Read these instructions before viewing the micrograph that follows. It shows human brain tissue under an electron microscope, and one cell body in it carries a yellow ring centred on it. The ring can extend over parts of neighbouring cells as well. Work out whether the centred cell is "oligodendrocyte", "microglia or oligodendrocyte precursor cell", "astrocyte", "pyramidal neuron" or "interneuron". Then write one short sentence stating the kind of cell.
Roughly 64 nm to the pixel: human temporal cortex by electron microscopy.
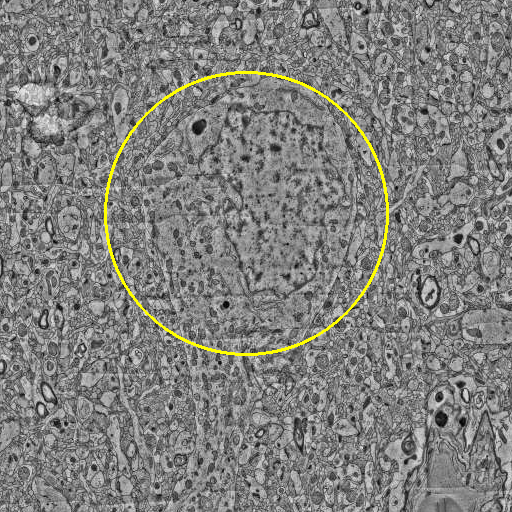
The ringed cell is an interneuron.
